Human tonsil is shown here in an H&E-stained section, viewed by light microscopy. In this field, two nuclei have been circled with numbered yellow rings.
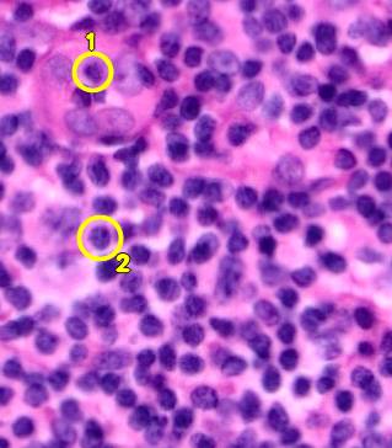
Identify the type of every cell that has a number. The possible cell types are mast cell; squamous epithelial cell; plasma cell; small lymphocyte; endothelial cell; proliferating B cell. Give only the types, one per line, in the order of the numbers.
endothelial cell
small lymphocyte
